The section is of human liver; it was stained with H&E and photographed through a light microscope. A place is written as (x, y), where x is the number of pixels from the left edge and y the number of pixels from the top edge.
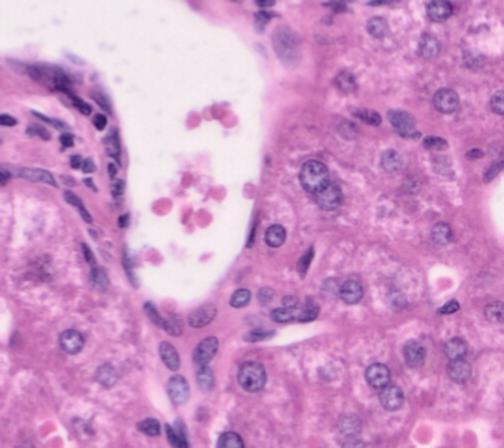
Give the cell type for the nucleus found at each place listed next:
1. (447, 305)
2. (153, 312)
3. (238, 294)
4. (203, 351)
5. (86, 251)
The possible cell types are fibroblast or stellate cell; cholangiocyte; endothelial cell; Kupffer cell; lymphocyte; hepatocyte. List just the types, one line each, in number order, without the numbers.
fibroblast or stellate cell
fibroblast or stellate cell
cholangiocyte
cholangiocyte
fibroblast or stellate cell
